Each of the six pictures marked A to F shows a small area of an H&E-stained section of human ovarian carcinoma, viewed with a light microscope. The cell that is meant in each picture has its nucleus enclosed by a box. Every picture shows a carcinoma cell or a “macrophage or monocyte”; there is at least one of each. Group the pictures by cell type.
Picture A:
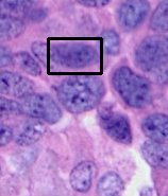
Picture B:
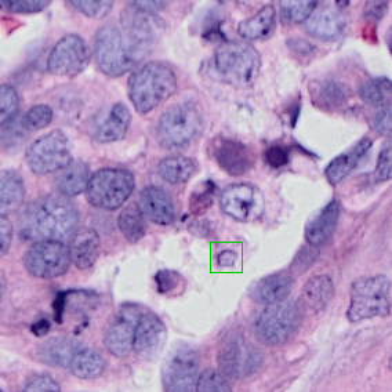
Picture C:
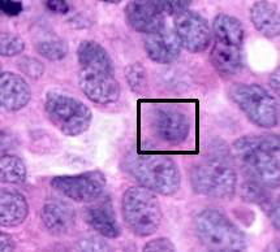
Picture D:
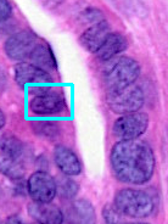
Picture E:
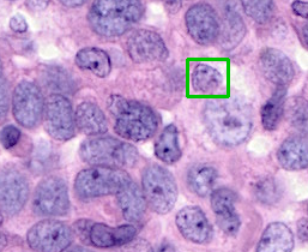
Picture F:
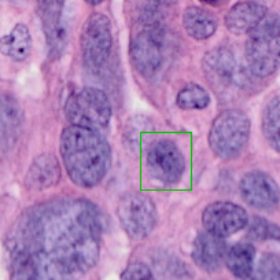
A: carcinoma cell
B: macrophage or monocyte
C: carcinoma cell
D: carcinoma cell
E: macrophage or monocyte
F: carcinoma cell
